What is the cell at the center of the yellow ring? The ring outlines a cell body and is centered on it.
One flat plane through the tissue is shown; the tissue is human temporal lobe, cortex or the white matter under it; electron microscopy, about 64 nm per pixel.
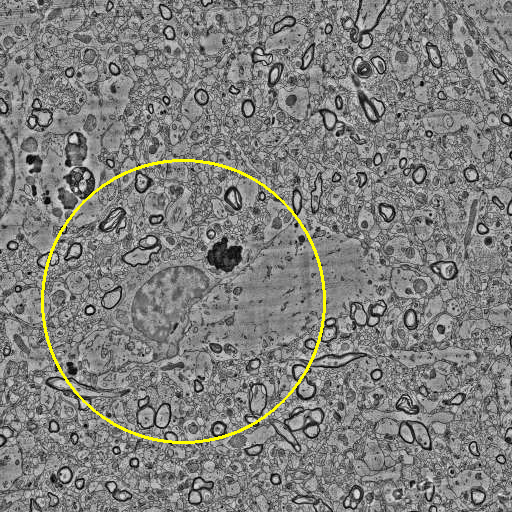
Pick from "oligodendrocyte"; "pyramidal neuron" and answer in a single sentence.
The yellow ring is centered on an oligodendrocyte.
